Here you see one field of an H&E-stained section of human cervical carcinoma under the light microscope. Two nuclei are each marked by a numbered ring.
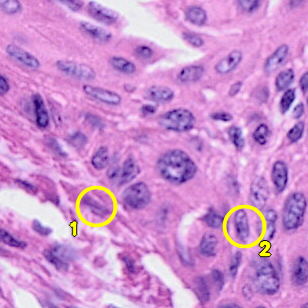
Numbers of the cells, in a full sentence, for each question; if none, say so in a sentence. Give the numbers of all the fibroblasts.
Of the cells bearing numbers, the only one that is a fibroblast is cell 1.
